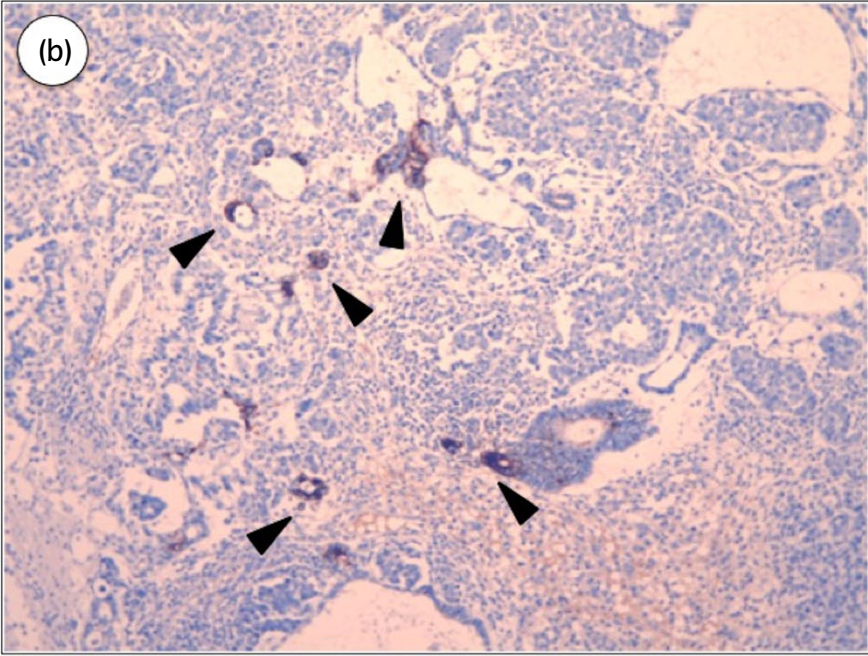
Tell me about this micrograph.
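Densely packed tumor cells form sheets and nests with crowded blue nuclei. Between them lie irregular spaces, small gland-like and microcystic cavities, and larger pale pink spaces. Only a few scattered cells take up the dark brownish-purple stain. They sit mostly around small round lumens and along the cavities near the middle of the field, and the black arrowheads point at them. The great majority of the tumor cells stay blue and unstained. A faint pinkish-brown tinge in the lower centre likely marks blood or background staining.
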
